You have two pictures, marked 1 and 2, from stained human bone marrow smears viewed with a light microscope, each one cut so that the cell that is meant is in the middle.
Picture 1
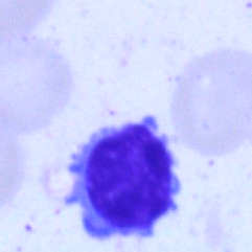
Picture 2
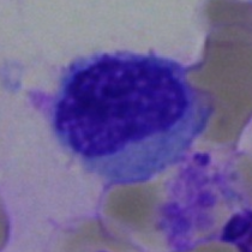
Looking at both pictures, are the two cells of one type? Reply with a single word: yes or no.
yes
